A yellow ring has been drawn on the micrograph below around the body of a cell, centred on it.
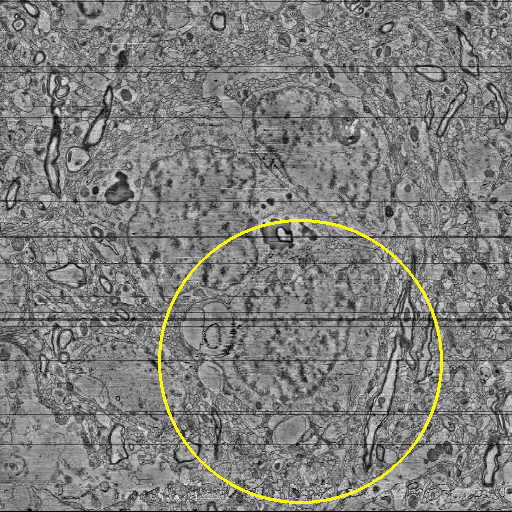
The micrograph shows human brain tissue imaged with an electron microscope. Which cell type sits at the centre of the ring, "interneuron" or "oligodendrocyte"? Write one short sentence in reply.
The cell sitting at the centre of the ring is an interneuron.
